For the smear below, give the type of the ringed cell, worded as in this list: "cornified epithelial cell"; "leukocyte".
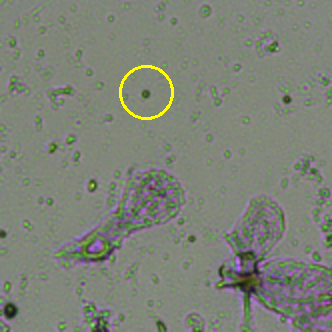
leukocyte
